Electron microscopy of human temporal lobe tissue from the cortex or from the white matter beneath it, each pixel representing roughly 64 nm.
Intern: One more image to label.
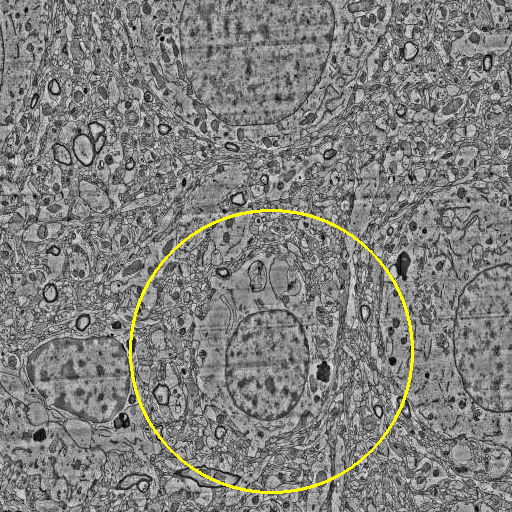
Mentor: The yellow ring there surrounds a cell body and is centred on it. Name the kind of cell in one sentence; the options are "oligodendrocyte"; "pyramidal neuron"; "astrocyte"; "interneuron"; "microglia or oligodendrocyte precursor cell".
The ring marks the cell body of an astrocyte.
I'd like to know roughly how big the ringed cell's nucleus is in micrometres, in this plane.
The nucleus appears roughly 7 by 5 micrometres in this plane.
